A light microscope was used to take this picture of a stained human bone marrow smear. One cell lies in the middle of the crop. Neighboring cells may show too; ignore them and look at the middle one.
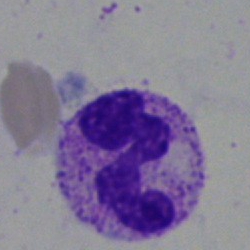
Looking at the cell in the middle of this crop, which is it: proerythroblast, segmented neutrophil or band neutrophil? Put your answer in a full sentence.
The identification for the central cell is a segmented neutrophil.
